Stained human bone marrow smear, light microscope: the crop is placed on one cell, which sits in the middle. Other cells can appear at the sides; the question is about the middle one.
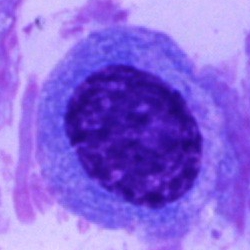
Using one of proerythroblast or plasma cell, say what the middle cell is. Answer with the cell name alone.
plasma cell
